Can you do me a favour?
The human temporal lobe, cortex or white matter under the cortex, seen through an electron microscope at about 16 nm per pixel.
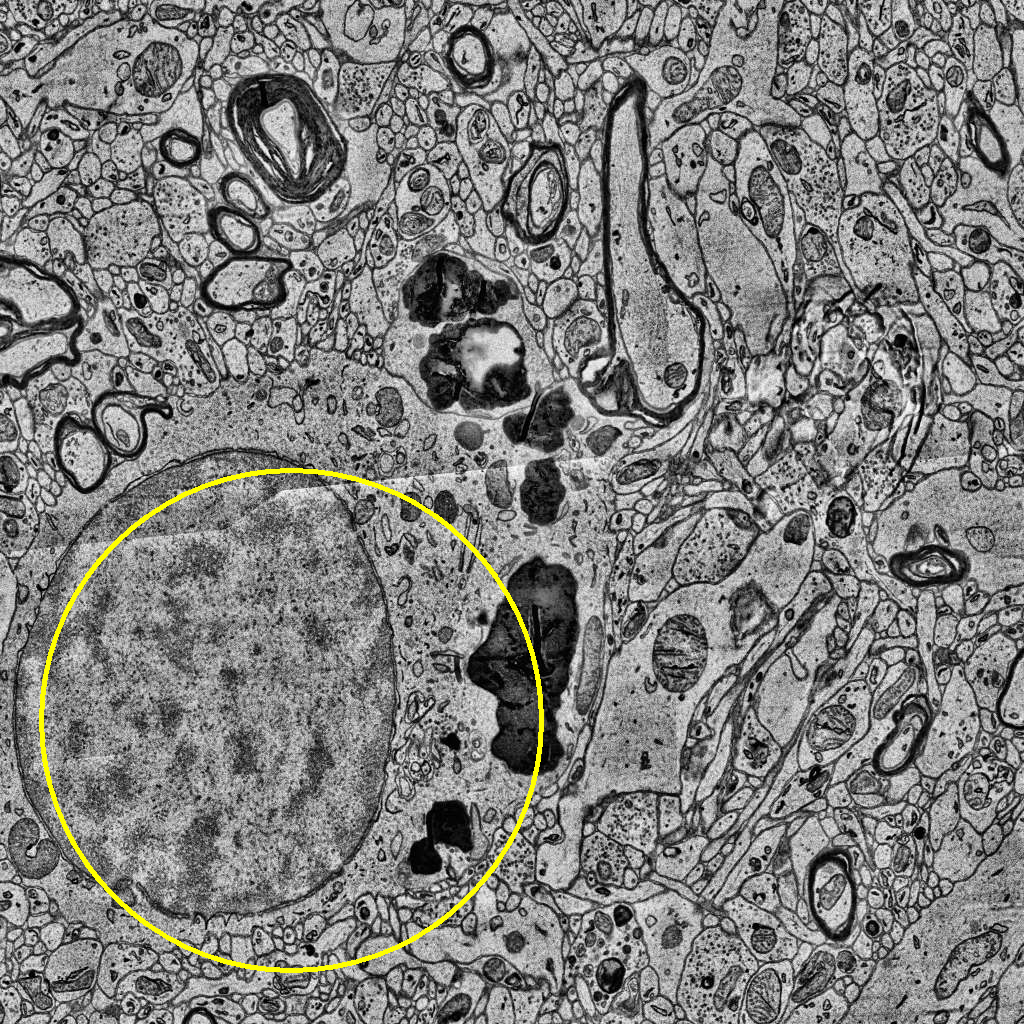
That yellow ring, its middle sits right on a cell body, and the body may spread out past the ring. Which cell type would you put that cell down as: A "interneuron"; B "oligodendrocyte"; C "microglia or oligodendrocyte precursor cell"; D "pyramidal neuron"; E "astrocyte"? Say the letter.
B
